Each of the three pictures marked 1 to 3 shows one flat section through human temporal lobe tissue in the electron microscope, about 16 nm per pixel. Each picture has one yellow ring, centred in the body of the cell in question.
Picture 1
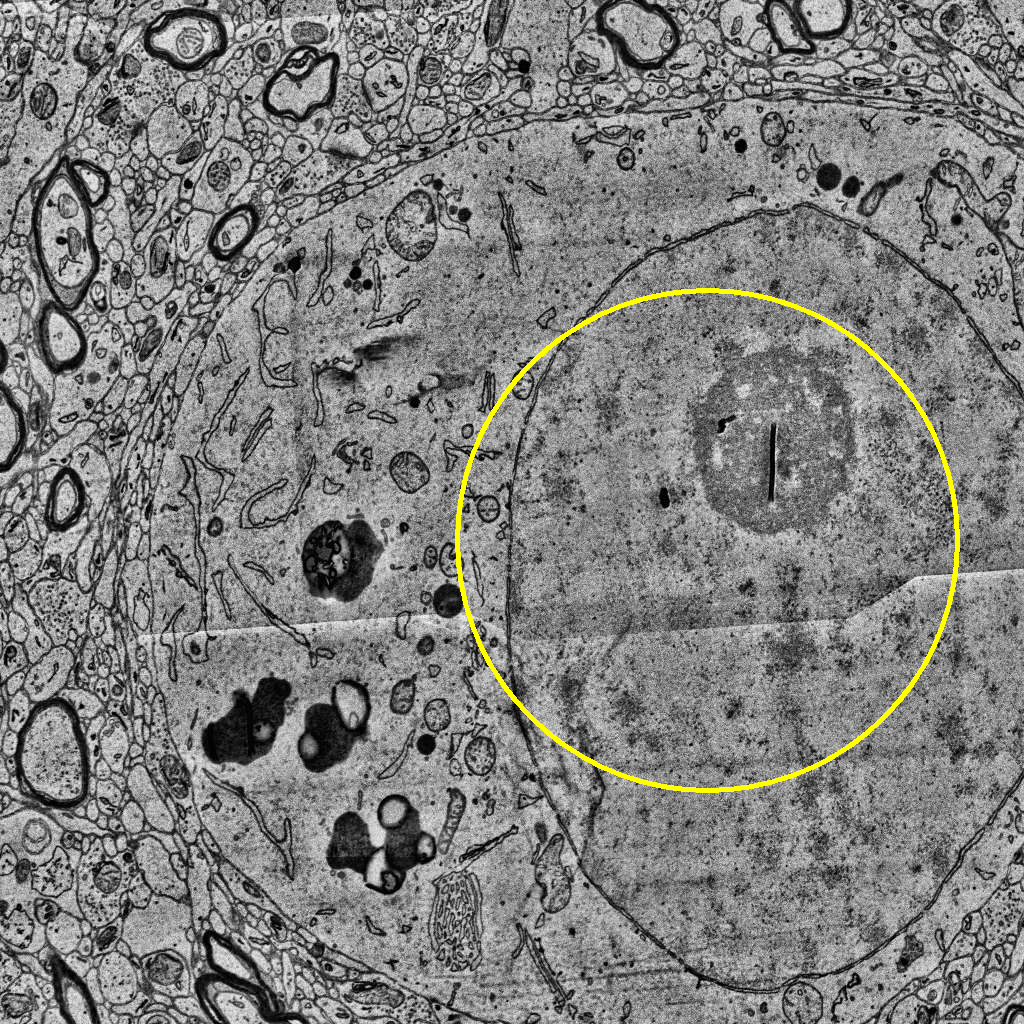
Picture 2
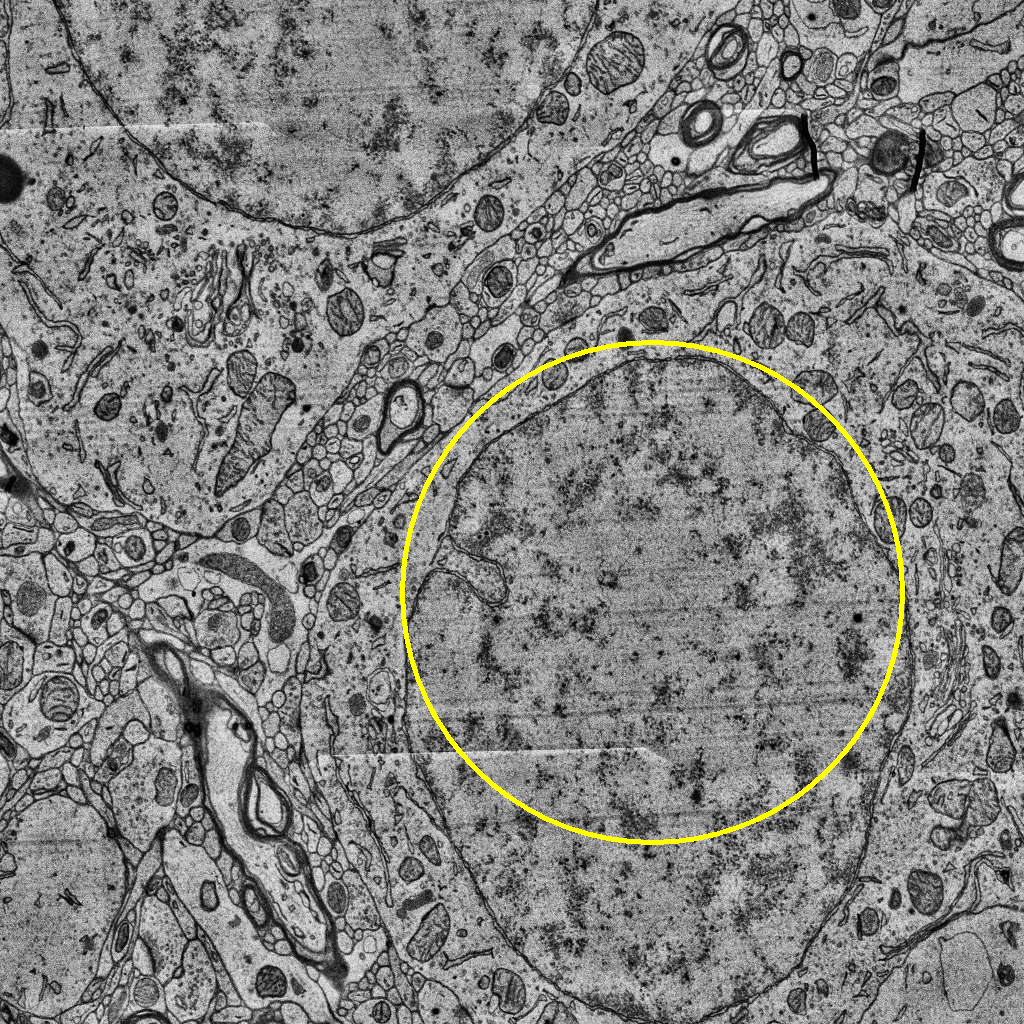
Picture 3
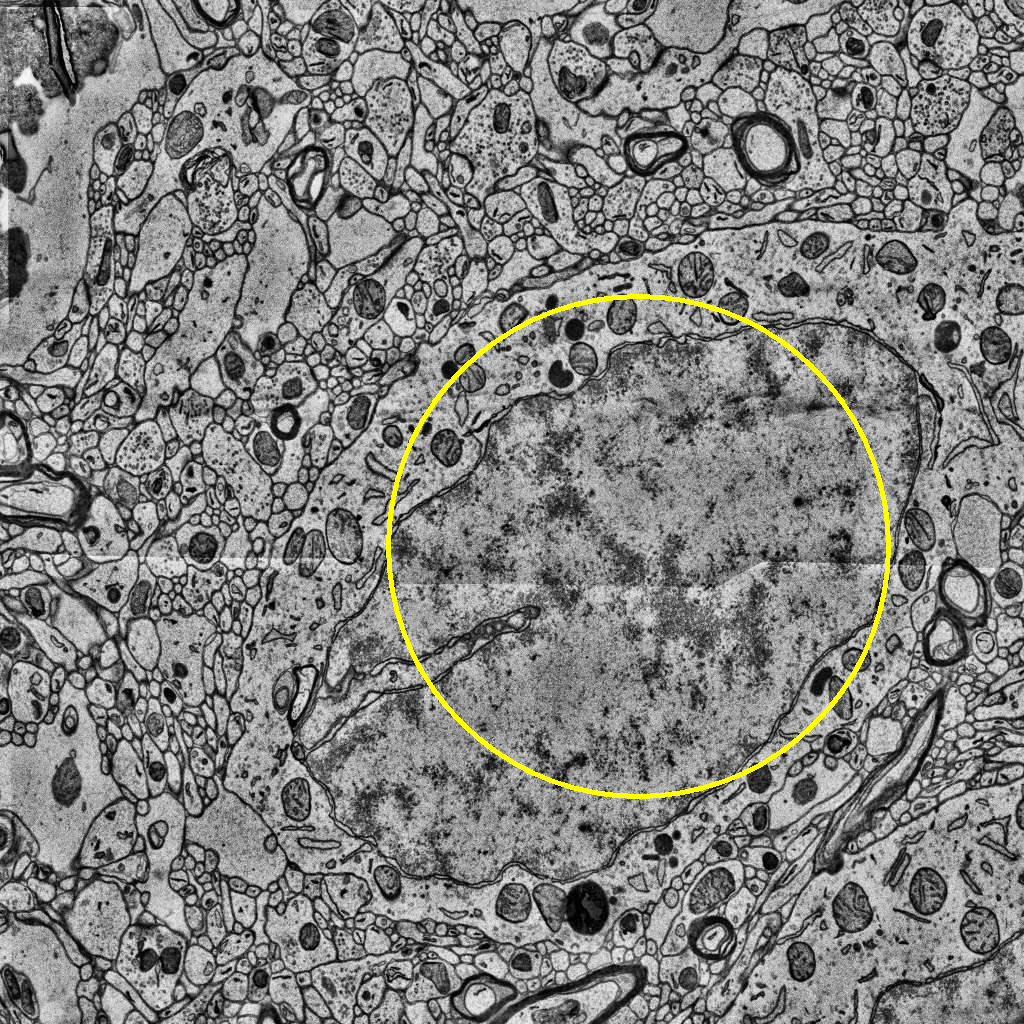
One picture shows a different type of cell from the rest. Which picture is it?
Picture 1 differs, because its cell is a pyramidal neuron and the rest are interneurons.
